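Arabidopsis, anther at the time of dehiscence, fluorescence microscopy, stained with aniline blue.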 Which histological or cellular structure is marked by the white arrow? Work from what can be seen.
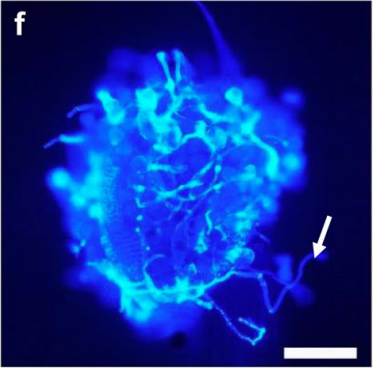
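Bright blue-fluorescent winding threads cover the anther. A thin tube runs out from the anther edge at the arrow.
Pollen tubes.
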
